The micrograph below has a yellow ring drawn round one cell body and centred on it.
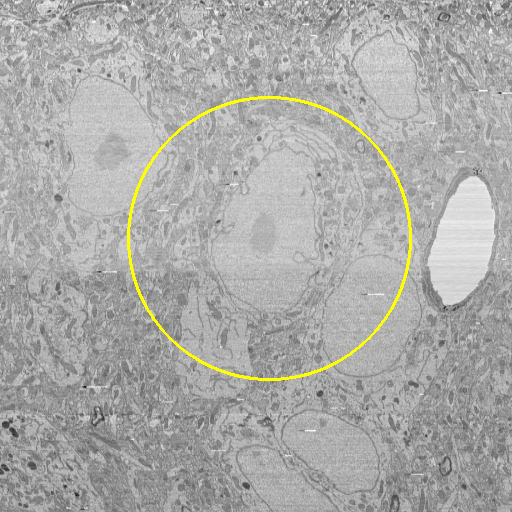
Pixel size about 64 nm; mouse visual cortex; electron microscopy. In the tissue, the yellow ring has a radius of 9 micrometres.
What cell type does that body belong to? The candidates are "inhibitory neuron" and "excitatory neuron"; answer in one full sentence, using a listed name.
This is an inhibitory neuron, the cell whose body lies at the centre of the ring.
